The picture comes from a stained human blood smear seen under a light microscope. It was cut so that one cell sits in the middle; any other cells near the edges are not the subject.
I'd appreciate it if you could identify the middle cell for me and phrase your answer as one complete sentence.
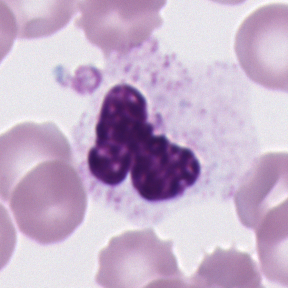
As for the cell in the middle, it is a segmented neutrophil.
